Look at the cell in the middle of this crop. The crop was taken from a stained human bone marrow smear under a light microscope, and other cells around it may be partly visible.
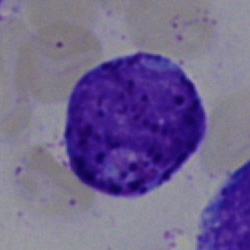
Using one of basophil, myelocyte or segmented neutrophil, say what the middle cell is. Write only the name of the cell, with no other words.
basophil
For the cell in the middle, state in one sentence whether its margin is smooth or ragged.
Its surface contour is regular and smooth, without any protrusions.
